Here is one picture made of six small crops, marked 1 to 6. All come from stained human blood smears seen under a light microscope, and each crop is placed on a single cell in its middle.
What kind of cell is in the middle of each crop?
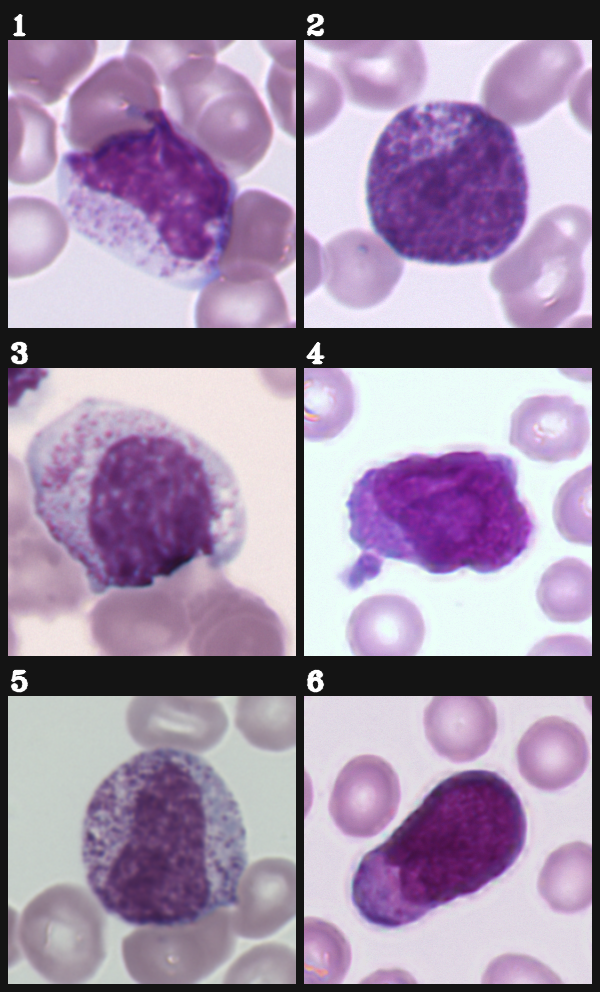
1: myelocyte
2: myelocyte
3: myelocyte
4: atypical promyelocyte
5: myelocyte
6: atypical promyelocyte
